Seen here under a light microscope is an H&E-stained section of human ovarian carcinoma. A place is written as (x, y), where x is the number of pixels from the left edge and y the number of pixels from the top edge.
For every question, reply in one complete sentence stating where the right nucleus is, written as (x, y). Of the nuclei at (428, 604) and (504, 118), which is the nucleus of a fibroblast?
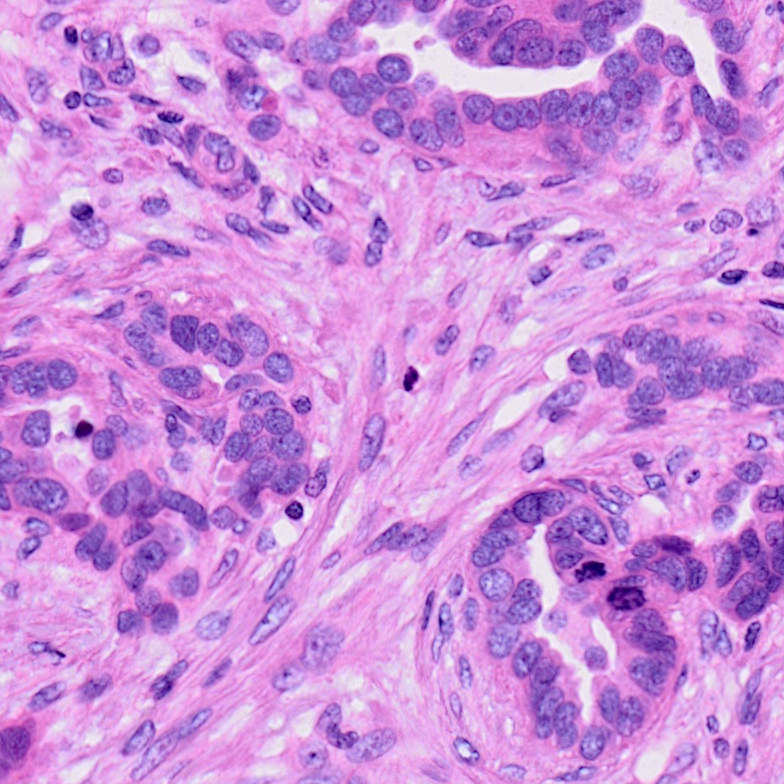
The nucleus at (428, 604) is housed in a fibroblast.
